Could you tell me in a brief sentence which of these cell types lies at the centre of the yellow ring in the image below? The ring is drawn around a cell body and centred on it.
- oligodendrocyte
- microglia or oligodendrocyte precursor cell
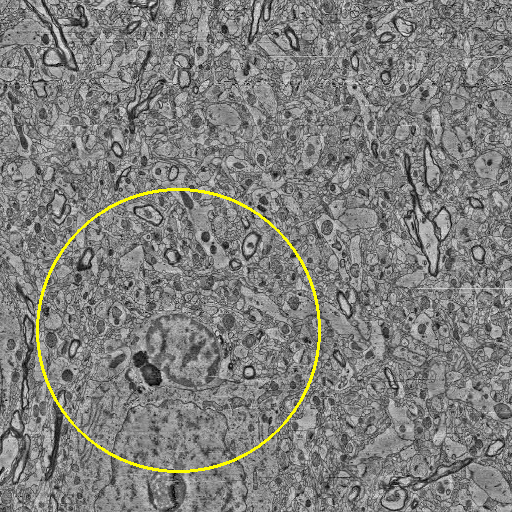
The cell centred in the ring is an oligodendrocyte.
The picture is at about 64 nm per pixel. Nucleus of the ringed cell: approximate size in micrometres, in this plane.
The nucleus measures about 5 micrometers across in this plane.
